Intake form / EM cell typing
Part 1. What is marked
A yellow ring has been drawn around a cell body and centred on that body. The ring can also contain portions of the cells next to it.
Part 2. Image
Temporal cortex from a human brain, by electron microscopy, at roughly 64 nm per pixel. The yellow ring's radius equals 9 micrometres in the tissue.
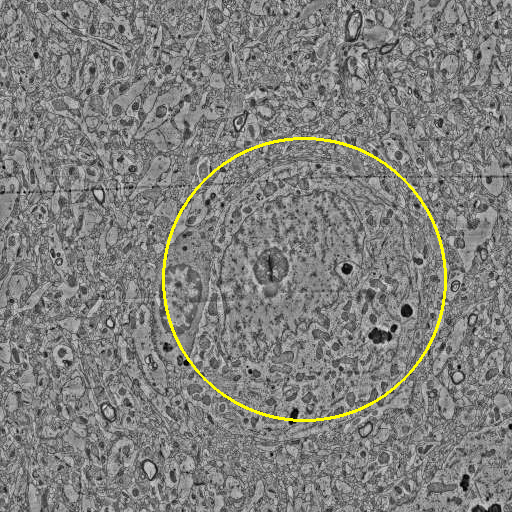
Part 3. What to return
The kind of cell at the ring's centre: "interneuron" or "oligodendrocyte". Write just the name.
interneuron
